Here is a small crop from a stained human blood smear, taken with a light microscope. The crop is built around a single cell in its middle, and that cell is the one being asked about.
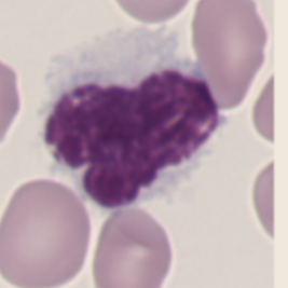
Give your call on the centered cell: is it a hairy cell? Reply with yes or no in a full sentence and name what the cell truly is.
Yes, the cell at the centre is designated a hairy cell.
